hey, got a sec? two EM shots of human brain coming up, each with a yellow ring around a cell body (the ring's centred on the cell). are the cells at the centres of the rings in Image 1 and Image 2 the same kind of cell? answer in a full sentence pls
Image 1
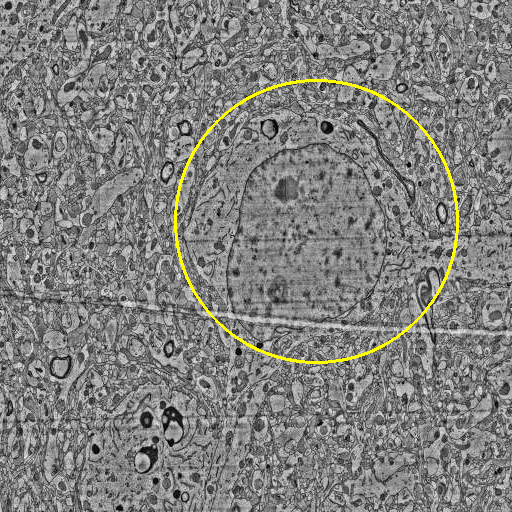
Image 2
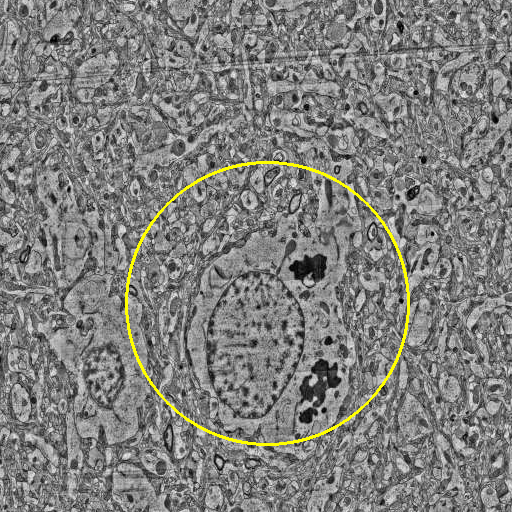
No, they are two kinds of cell.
